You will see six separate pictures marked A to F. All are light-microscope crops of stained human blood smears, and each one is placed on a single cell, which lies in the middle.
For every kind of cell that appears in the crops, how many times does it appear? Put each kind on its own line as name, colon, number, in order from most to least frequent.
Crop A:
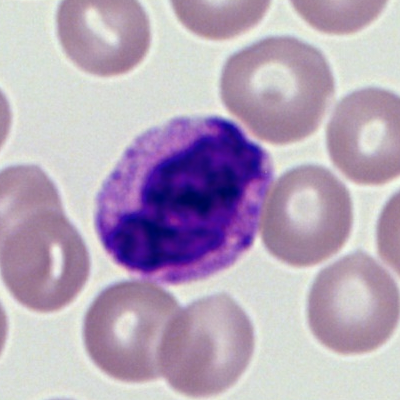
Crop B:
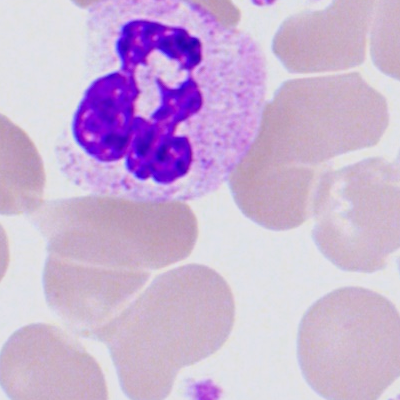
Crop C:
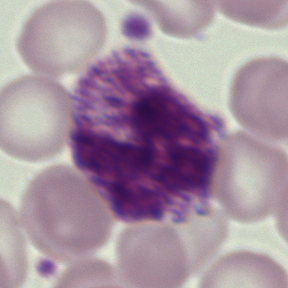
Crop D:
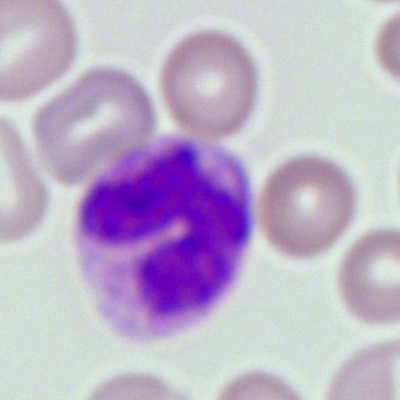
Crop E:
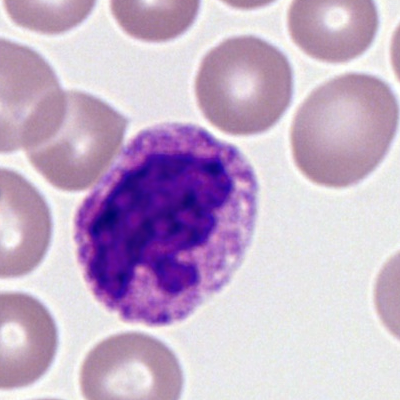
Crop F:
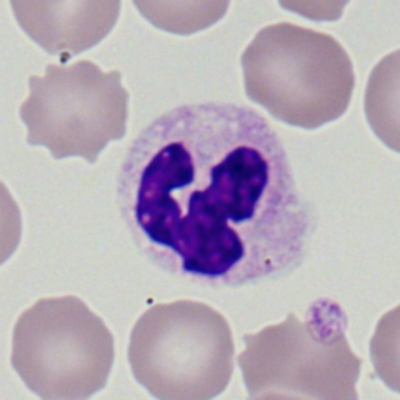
basophil: 4
segmented neutrophil: 2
